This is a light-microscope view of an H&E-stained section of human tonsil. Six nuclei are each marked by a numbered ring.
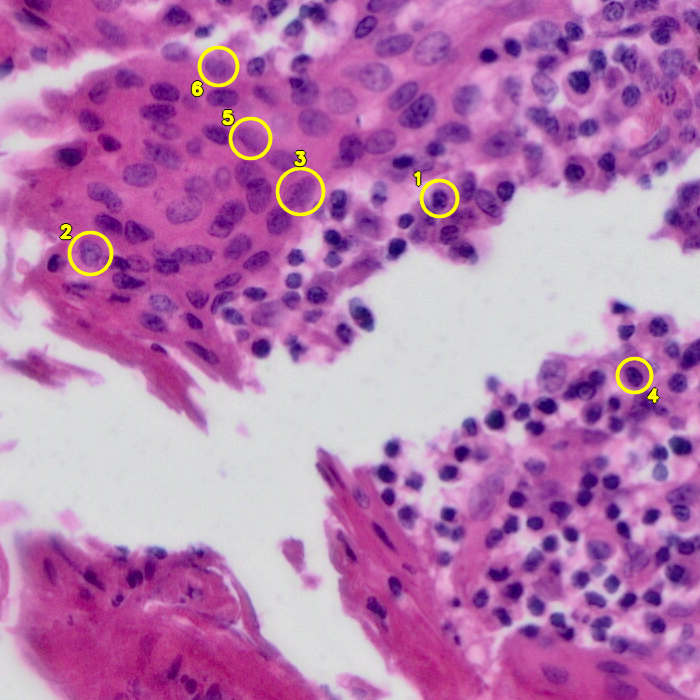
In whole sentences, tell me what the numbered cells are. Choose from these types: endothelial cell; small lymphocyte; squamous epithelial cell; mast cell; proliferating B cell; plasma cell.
Cell 1 is a plasma cell, cell 2 is a squamous epithelial cell, cell 3 is a squamous epithelial cell, cell 4 is a plasma cell, cell 5 is a squamous epithelial cell and cell 6 is a squamous epithelial cell.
